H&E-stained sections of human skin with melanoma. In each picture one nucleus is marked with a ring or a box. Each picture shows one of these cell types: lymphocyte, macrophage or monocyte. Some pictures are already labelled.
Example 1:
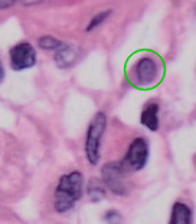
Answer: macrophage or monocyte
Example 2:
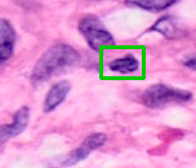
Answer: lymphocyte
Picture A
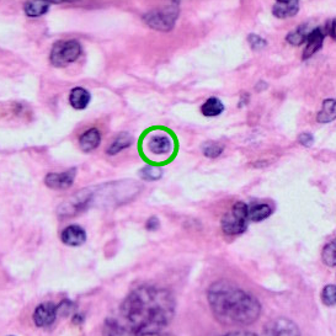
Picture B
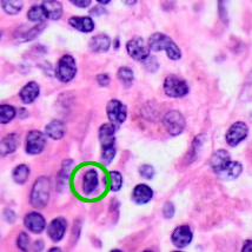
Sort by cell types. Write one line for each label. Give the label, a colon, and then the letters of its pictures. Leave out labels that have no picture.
lymphocyte: A, B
